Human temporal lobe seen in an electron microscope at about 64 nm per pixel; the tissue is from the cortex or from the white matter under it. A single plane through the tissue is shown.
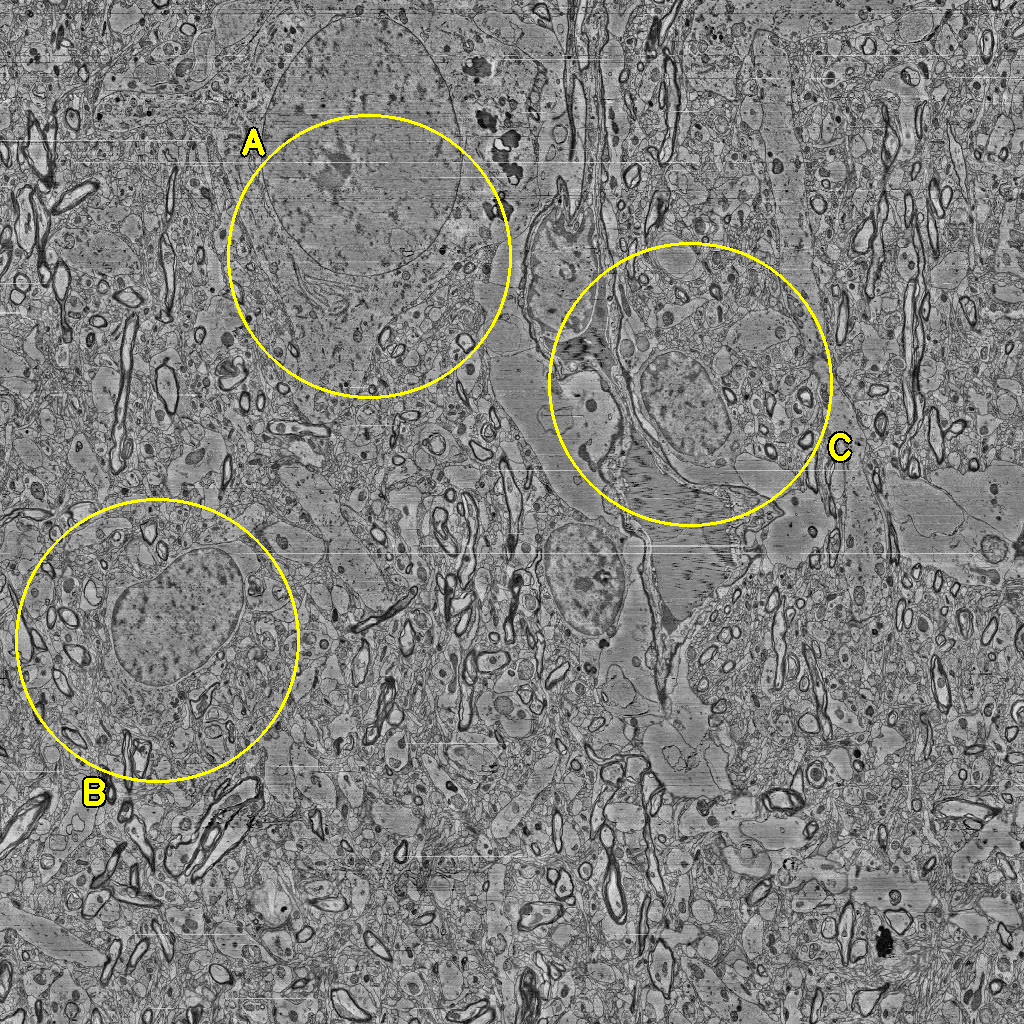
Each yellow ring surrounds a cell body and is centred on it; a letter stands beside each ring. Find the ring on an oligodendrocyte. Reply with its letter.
C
